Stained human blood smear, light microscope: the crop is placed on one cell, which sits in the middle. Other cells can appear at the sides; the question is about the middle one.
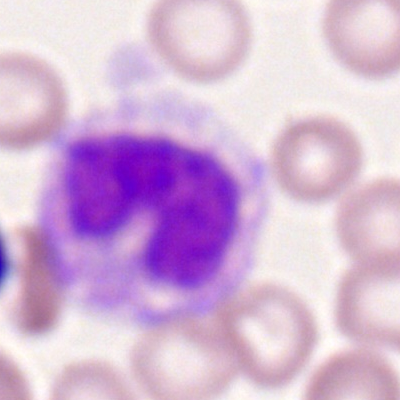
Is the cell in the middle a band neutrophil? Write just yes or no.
yes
